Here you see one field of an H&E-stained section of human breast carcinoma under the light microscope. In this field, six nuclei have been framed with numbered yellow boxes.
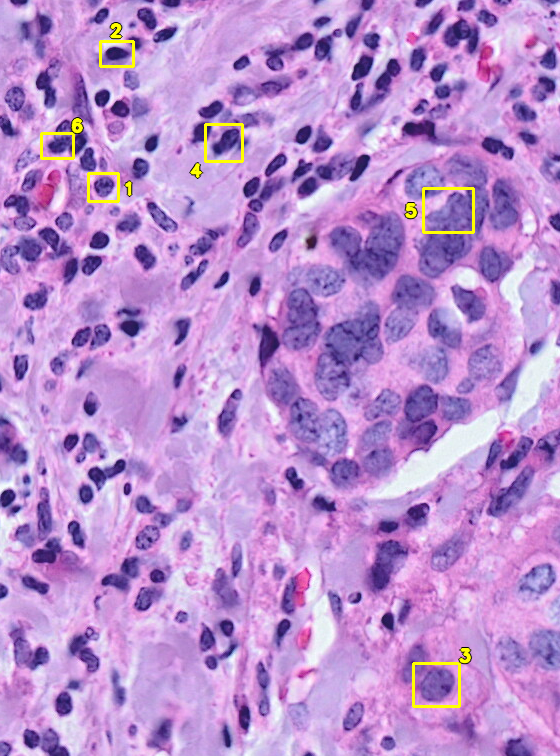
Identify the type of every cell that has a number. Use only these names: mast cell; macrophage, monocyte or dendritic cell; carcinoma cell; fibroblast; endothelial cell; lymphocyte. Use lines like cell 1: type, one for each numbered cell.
cell 1: lymphocyte
cell 2: lymphocyte
cell 3: carcinoma cell
cell 4: lymphocyte
cell 5: carcinoma cell
cell 6: lymphocyte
